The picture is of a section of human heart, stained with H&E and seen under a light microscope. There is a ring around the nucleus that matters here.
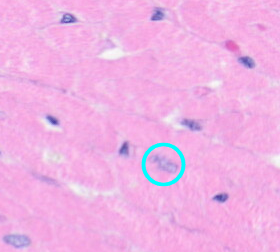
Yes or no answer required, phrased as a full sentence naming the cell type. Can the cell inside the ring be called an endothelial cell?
No, the cell inside the ring is to be classified as a cardiomyocyte rather than an endothelial cell.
